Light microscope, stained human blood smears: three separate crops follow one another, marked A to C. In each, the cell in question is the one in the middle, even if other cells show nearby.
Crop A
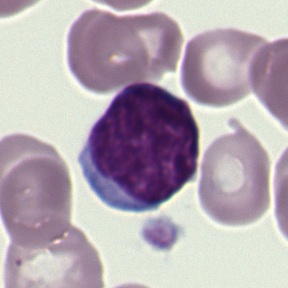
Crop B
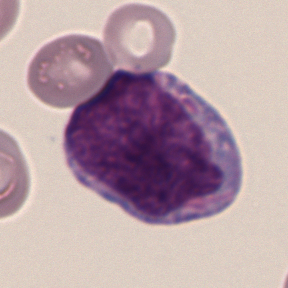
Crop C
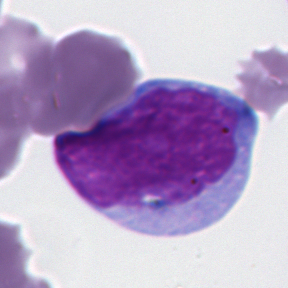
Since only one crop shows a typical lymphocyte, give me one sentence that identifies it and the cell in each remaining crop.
Crop A goes down as a typical lymphocyte, while crop B is an atypical promyelocyte and crop C is a myeloblast.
